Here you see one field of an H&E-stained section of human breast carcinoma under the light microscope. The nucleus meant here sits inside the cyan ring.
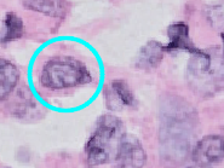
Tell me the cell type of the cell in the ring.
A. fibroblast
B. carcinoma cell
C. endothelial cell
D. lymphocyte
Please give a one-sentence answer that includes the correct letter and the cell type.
In short, option B: the cell in the ring is a carcinoma cell.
